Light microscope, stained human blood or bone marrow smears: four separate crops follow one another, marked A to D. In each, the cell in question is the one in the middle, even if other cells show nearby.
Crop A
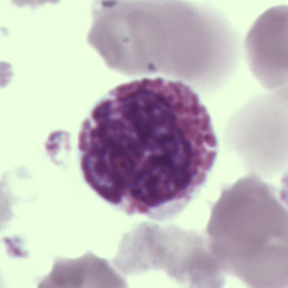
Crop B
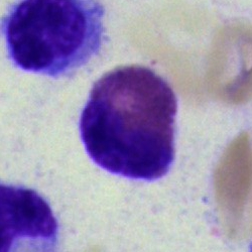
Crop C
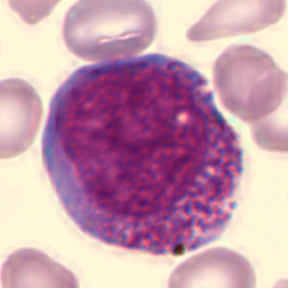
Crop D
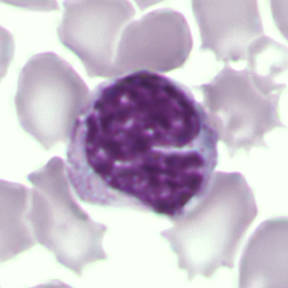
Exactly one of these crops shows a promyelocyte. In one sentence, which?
The cell identified as a promyelocyte is the one in crop C.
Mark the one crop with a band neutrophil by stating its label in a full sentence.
Crop D is the right one; it is the crop showing a band neutrophil.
